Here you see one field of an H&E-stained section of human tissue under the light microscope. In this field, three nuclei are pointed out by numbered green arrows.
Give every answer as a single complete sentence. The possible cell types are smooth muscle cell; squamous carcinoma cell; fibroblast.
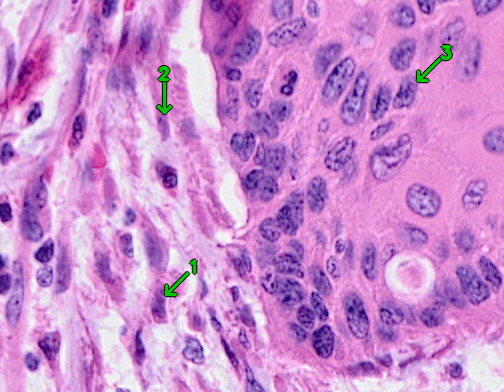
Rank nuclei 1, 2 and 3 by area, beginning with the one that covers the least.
By area, going up from the smallest, they rank 2, 1, 3.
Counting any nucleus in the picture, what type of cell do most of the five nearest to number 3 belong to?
Squamous carcinoma cells make up most of the five nuclei closest to number 3.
